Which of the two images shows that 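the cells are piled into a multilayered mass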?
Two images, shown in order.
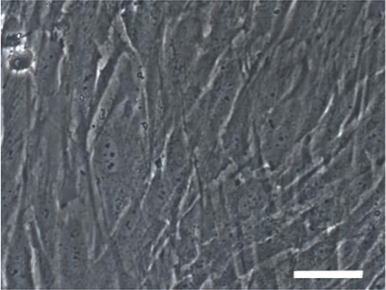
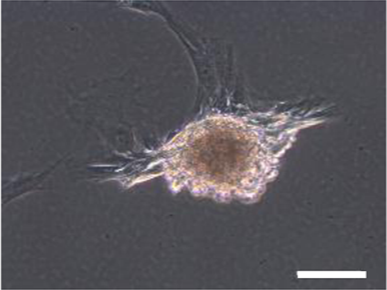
The second image.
